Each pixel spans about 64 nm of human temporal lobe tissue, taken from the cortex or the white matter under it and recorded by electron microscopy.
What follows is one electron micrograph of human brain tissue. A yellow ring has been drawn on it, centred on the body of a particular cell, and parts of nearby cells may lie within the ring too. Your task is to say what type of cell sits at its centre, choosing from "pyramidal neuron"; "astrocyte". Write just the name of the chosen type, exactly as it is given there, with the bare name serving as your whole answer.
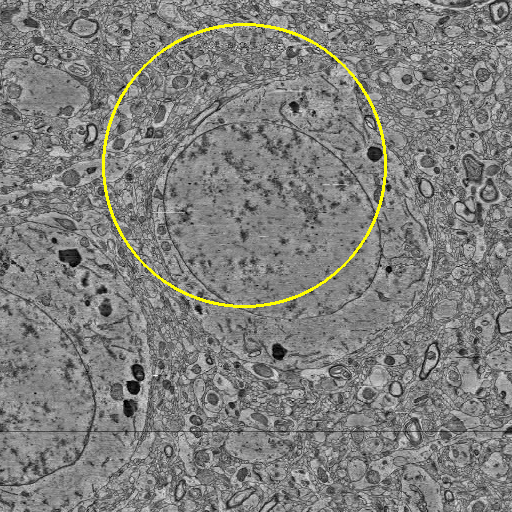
pyramidal neuron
